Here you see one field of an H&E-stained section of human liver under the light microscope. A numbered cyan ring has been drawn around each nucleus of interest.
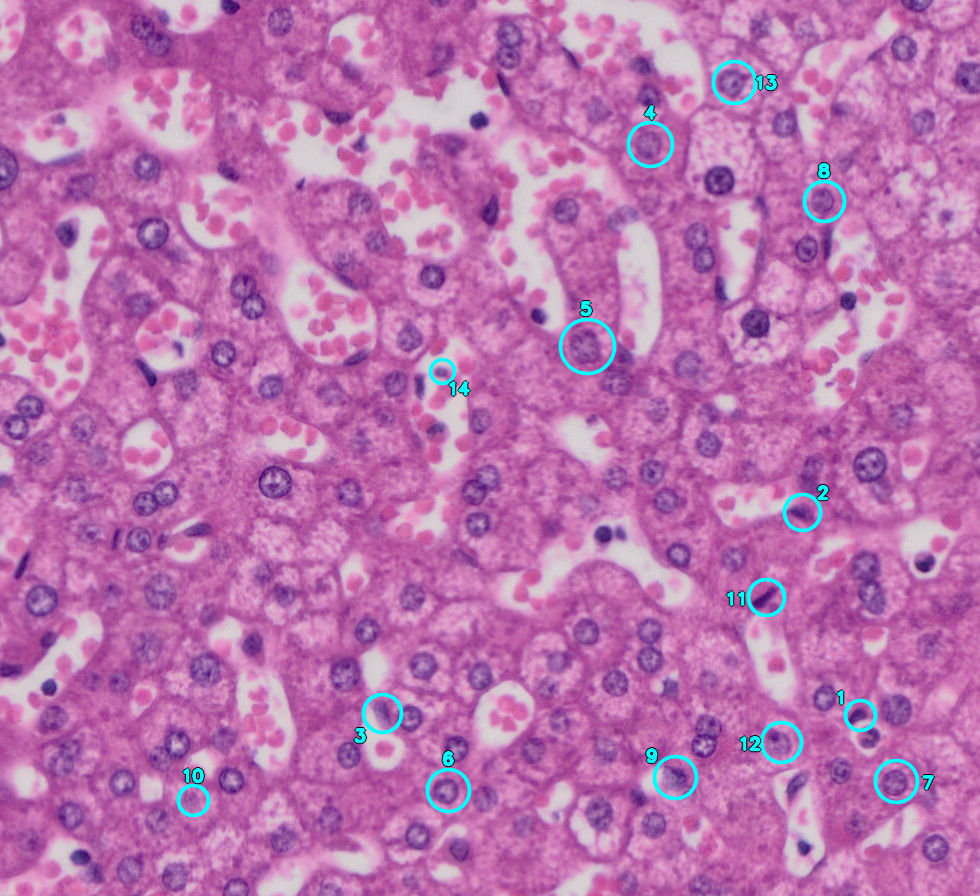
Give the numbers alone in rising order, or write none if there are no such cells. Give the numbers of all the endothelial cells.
9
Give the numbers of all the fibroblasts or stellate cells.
1, 2, 11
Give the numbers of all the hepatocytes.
4, 5, 6, 7, 8, 10, 12, 13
